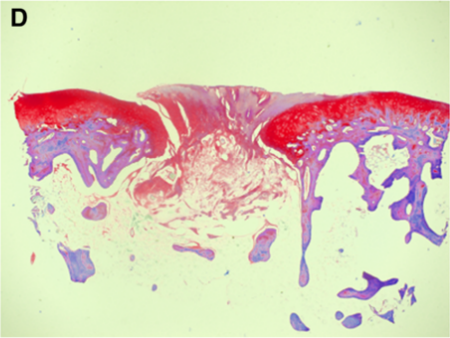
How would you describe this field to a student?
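Section through an articular surface with a central defect between two shoulders of intact cartilage. The intact cartilage stains intensely red and sits on blue-purple trabecular bone. The defect holds loose, irregular, streaky pale-red tissue that extends down into the marrow space. This tissue lacks the orderly layering of the neighbouring cartilage.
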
